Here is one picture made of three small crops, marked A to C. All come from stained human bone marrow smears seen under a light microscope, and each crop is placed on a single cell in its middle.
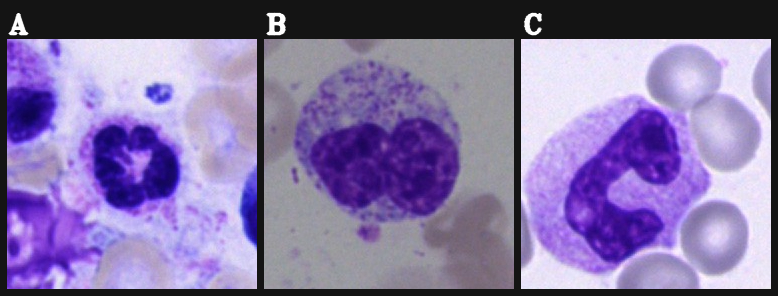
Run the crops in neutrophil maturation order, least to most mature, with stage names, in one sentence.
Ranking by maturity from lowest to highest gives crop B (a metamyelocyte), crop C (a band neutrophil) and crop A (a segmented neutrophil).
